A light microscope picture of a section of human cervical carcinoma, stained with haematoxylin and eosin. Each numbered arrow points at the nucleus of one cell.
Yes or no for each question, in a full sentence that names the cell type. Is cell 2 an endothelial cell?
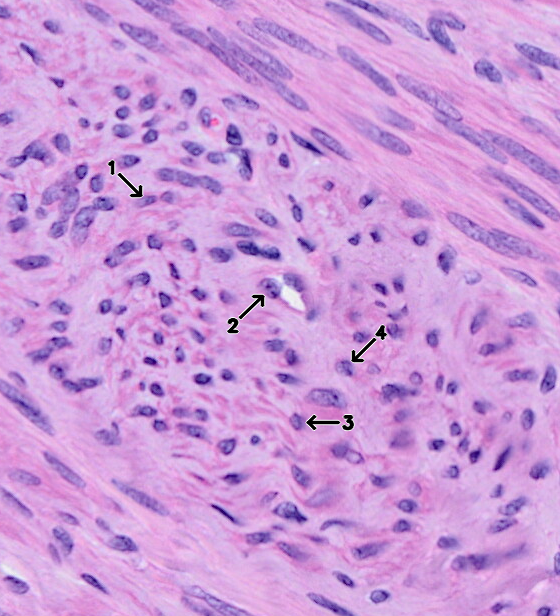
Yes, the cell numbered 2 in this tissue is an endothelial cell.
